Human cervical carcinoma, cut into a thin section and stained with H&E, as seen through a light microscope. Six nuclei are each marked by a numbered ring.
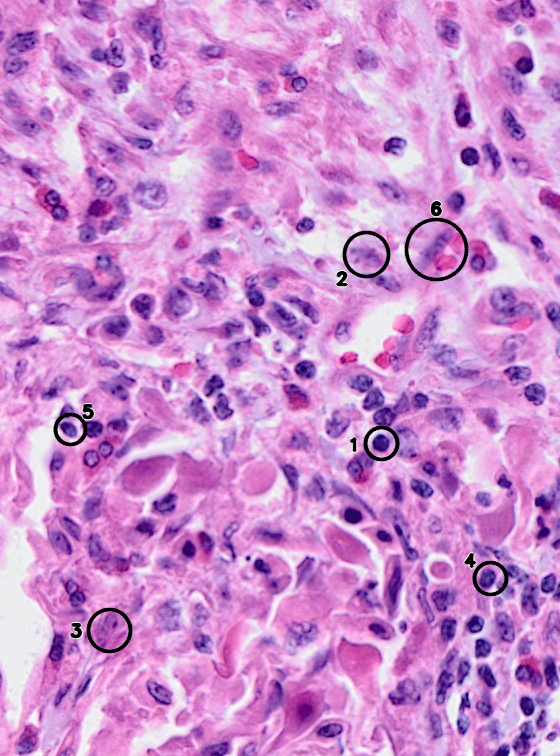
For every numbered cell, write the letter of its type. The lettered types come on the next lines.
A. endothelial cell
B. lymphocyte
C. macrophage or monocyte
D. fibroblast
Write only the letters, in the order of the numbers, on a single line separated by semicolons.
B; D; D; B; B; A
